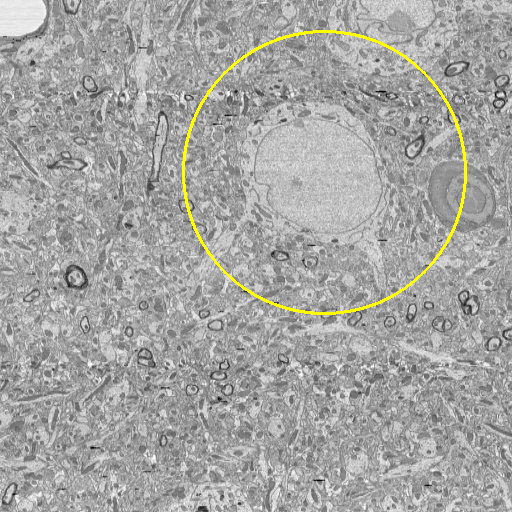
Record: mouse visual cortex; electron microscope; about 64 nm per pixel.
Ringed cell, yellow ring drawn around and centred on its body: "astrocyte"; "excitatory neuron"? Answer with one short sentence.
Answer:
This ringed cell is an excitatory neuron.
